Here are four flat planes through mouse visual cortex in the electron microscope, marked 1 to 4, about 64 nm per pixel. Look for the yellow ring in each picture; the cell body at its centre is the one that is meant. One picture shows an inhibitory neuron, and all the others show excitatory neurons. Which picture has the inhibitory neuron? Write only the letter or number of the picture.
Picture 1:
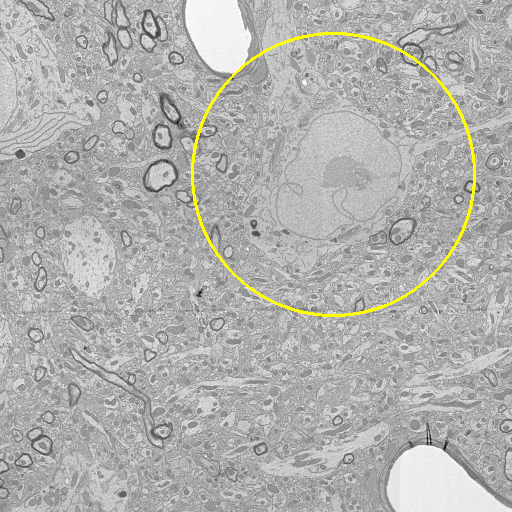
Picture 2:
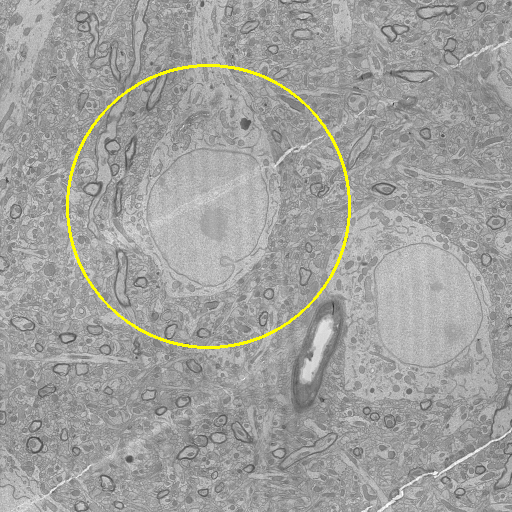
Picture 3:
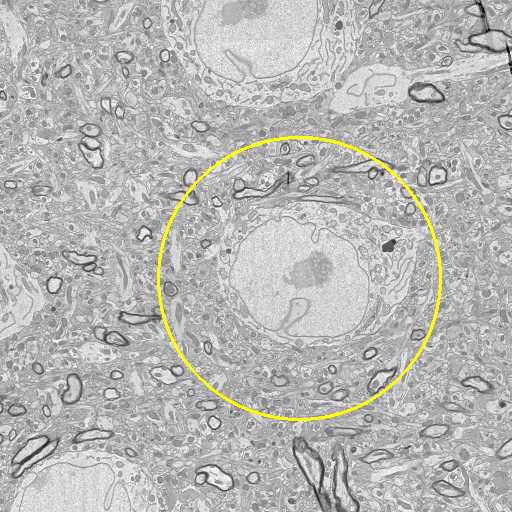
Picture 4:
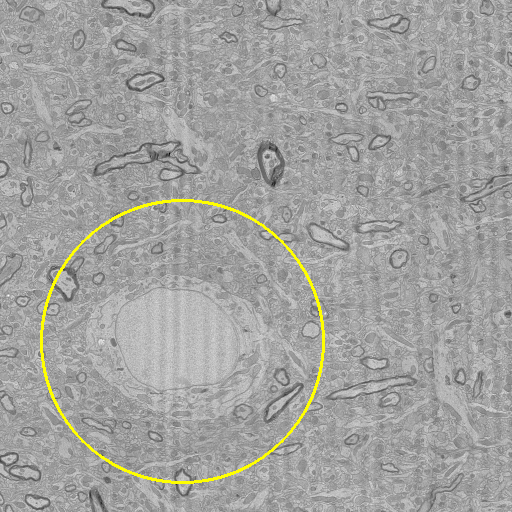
3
